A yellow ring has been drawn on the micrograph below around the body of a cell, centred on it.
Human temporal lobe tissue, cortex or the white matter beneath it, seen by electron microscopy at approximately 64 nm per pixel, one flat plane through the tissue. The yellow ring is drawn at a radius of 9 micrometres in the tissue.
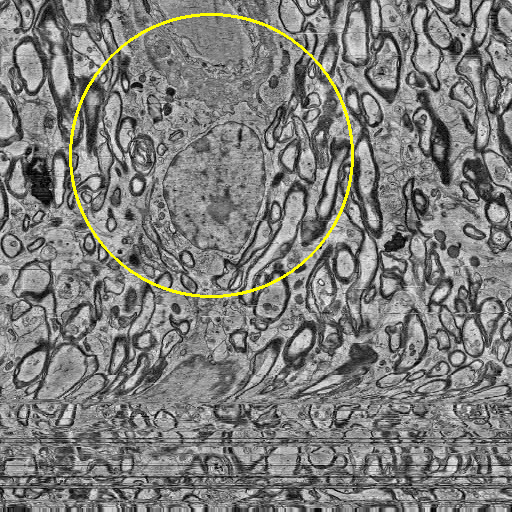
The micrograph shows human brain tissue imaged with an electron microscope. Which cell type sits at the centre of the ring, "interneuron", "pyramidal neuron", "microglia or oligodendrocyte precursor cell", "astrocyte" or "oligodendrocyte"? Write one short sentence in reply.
The cell sitting at the centre of the ring is a microglial cell or oligodendrocyte precursor cell.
